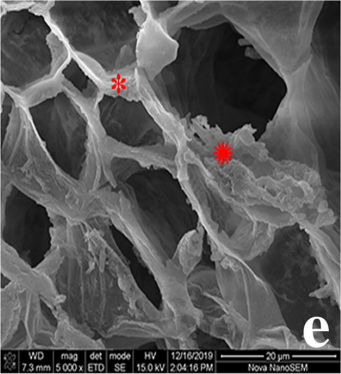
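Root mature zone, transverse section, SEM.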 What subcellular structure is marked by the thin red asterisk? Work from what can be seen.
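The mark sits on a thin partition where cells meet. On this evidence: cell wall.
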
